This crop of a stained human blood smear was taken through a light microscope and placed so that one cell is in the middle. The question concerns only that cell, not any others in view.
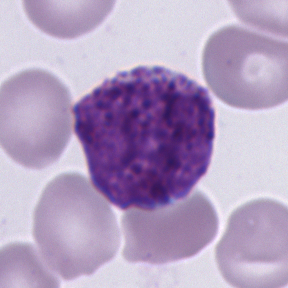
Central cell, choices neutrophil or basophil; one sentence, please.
The centrally placed cell is classified as a basophil.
